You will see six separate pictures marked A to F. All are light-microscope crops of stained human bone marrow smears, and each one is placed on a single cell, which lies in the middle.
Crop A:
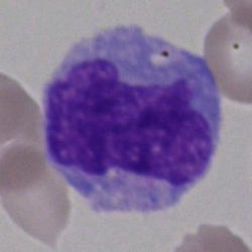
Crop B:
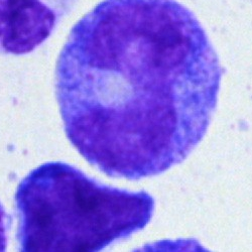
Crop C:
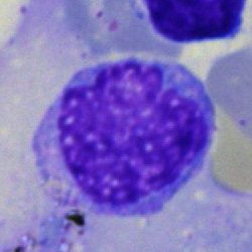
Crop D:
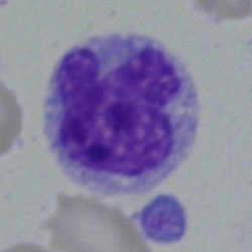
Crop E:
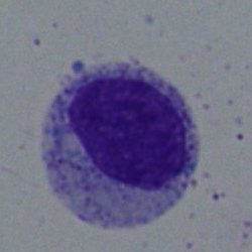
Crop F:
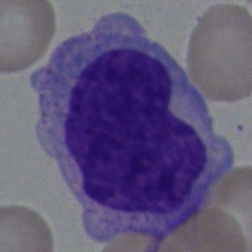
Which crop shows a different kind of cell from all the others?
E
